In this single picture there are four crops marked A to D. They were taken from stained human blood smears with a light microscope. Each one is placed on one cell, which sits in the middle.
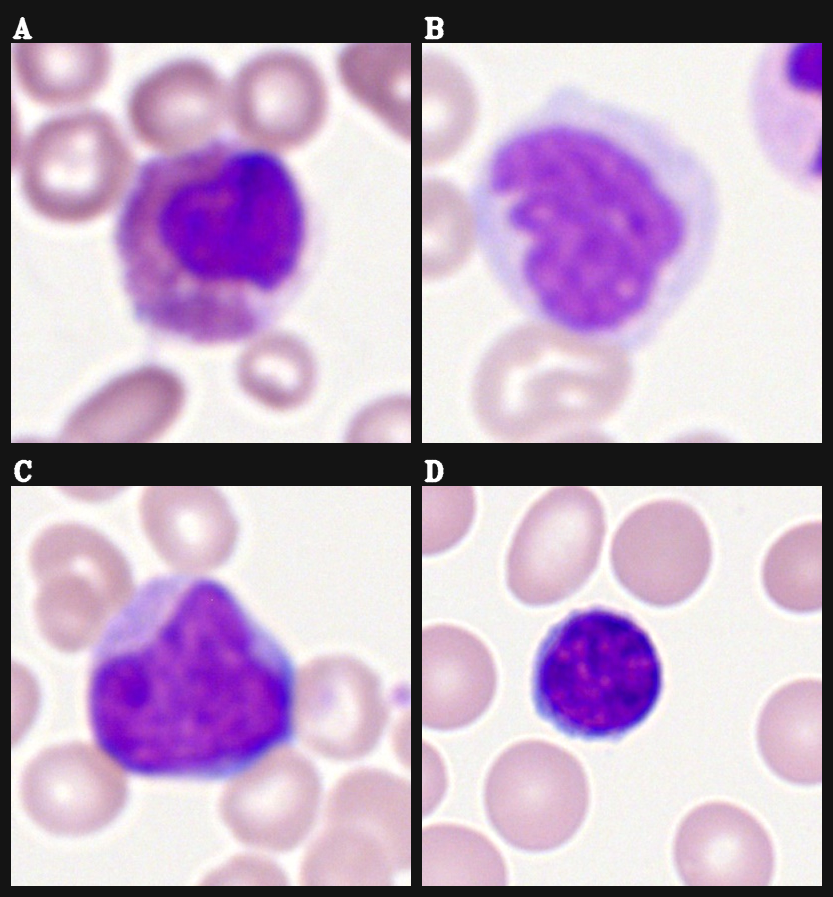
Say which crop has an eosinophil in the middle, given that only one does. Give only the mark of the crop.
A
